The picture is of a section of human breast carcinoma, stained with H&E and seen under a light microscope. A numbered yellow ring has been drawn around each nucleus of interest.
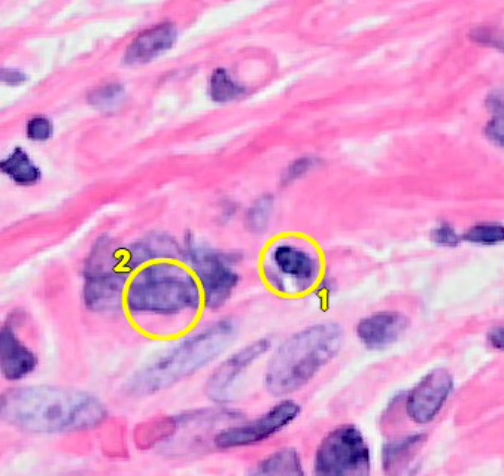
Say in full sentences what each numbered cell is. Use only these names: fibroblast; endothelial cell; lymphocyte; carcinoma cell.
Cell 1 is a lymphocyte and cell 2 is a carcinoma cell.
